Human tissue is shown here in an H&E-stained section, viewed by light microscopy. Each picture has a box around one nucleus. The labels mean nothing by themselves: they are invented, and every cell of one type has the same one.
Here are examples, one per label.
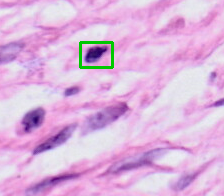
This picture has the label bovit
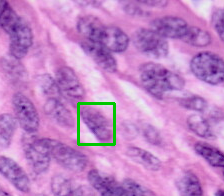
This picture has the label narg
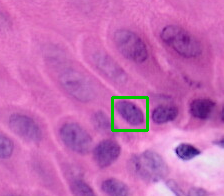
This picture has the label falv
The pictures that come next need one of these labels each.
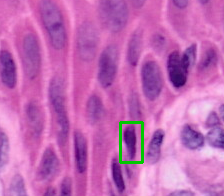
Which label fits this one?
falv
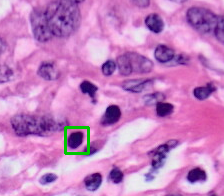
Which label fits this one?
bovit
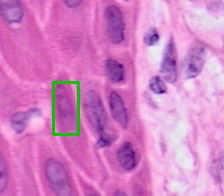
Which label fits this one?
falv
